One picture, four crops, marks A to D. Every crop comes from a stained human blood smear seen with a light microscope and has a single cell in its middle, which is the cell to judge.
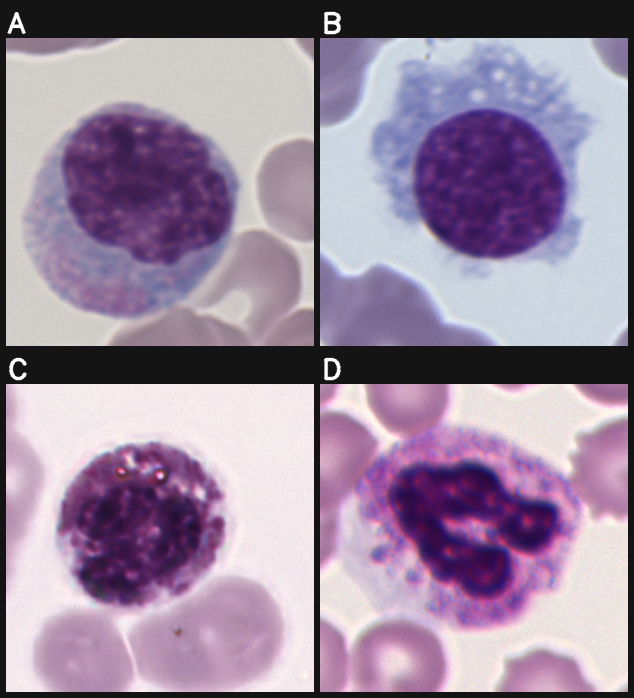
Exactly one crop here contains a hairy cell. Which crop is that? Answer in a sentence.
Of these crops, it is crop B that shows a hairy cell.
